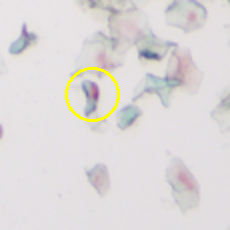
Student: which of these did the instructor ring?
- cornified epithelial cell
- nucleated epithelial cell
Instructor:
The cell I ringed is a nucleated epithelial cell.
